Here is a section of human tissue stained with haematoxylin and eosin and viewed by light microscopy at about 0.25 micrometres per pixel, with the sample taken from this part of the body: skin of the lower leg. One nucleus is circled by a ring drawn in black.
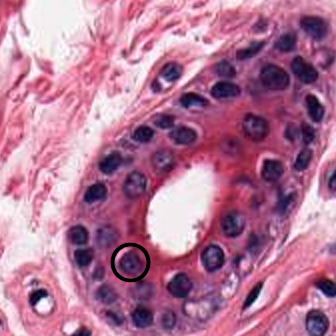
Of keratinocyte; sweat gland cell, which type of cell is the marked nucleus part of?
sweat gland cell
